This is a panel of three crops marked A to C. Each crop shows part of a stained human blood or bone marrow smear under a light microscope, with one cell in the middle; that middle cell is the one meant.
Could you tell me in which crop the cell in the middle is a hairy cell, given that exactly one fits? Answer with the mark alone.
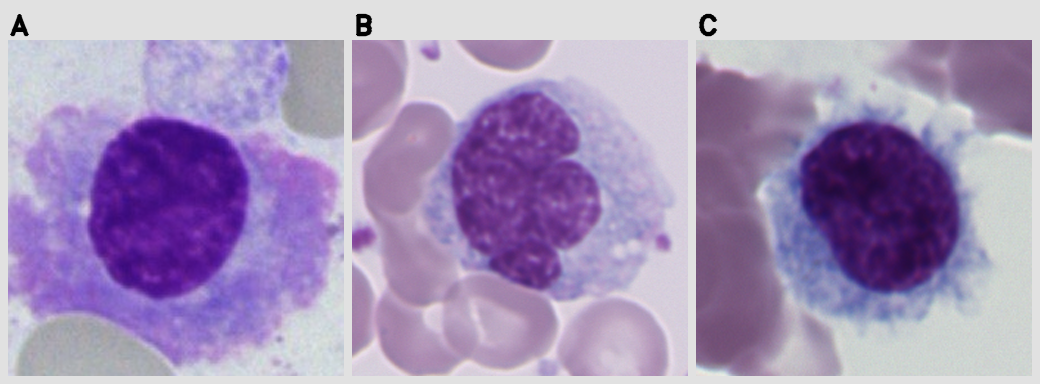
C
